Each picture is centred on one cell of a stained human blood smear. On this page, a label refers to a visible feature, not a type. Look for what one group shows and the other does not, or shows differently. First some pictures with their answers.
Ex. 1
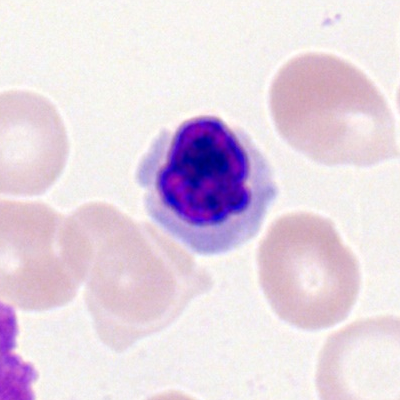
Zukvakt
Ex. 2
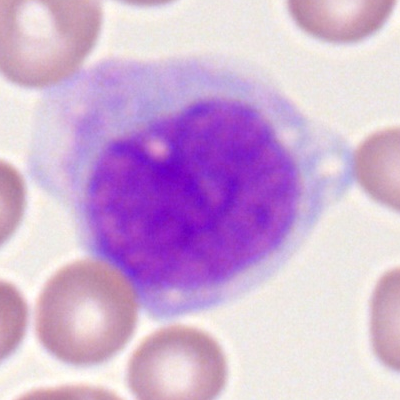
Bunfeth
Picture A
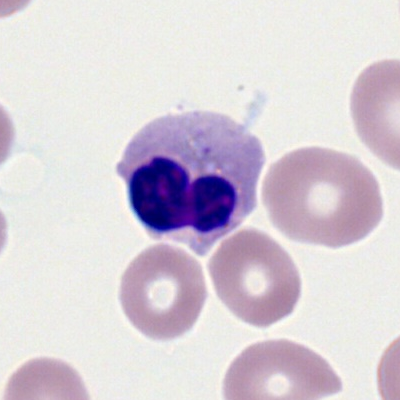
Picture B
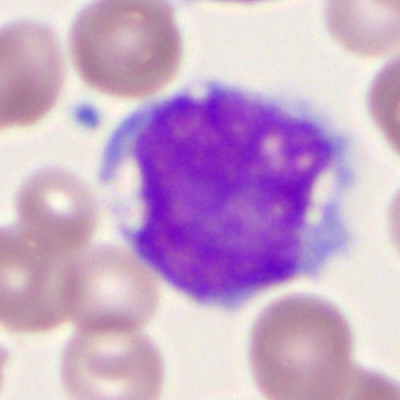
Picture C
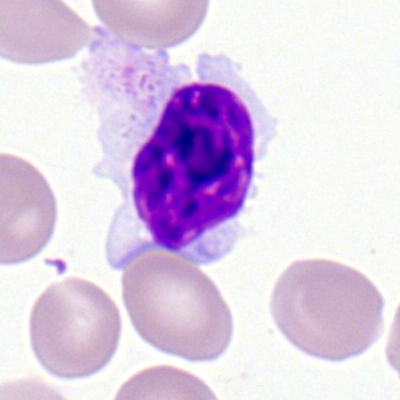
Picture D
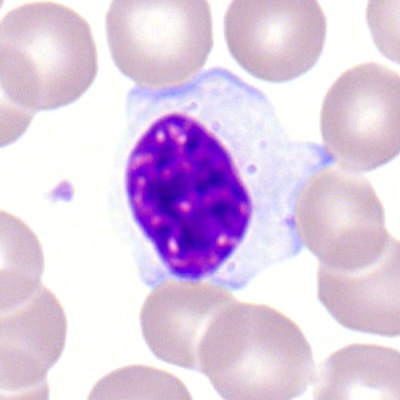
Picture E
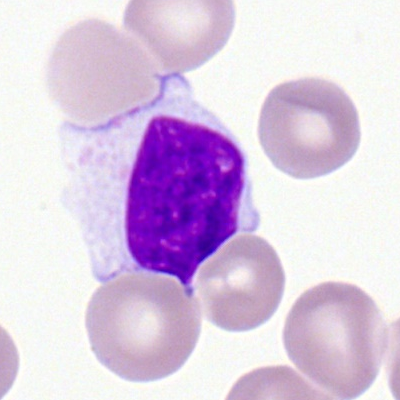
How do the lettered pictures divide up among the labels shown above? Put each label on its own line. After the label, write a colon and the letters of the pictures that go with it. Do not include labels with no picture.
Zukvakt: B
Bunfeth: A, C, D, E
